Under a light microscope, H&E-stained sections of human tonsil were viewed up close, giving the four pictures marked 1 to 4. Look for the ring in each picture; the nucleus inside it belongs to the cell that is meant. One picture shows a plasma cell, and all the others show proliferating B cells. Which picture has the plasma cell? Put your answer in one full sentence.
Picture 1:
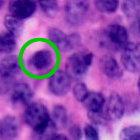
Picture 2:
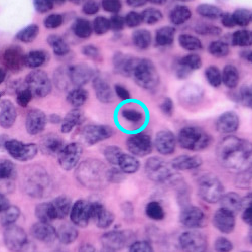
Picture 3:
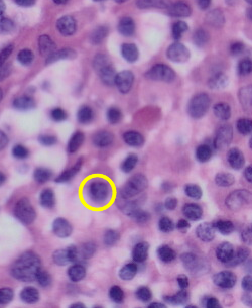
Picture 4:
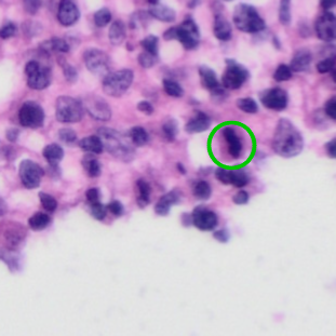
The picture with the plasma cell is 3.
